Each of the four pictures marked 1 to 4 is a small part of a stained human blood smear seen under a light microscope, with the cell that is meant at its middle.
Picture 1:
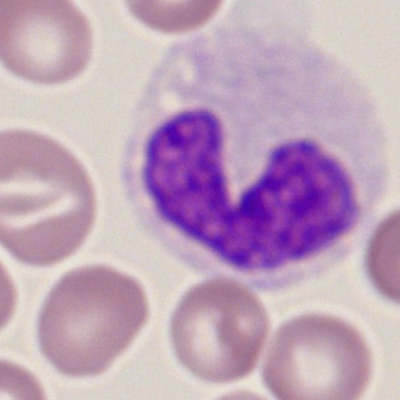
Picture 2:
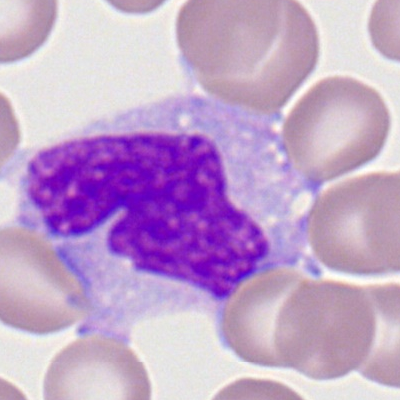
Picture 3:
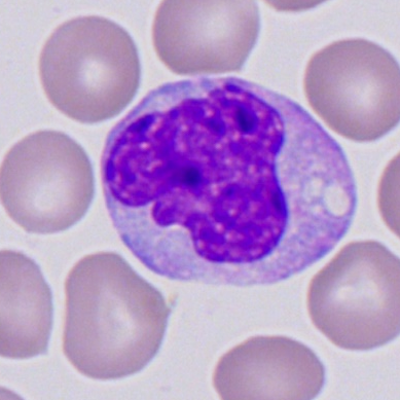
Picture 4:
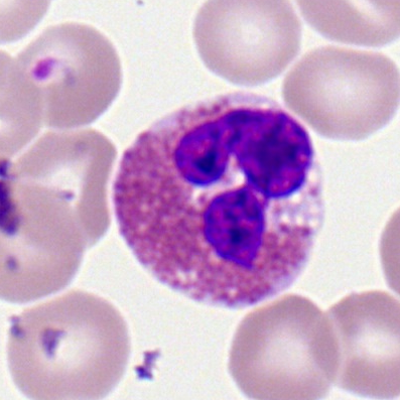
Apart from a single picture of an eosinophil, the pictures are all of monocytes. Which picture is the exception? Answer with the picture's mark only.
4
